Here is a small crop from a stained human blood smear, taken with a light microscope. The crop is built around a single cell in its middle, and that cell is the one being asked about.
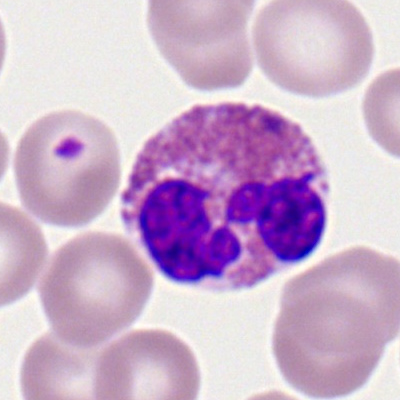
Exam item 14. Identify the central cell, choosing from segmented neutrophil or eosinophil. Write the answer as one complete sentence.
The identification for the central cell is an eosinophil.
